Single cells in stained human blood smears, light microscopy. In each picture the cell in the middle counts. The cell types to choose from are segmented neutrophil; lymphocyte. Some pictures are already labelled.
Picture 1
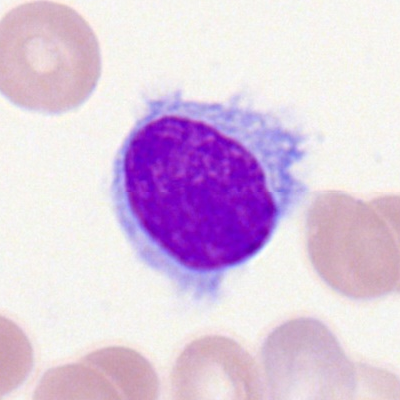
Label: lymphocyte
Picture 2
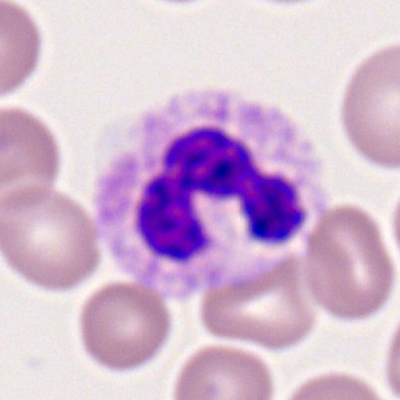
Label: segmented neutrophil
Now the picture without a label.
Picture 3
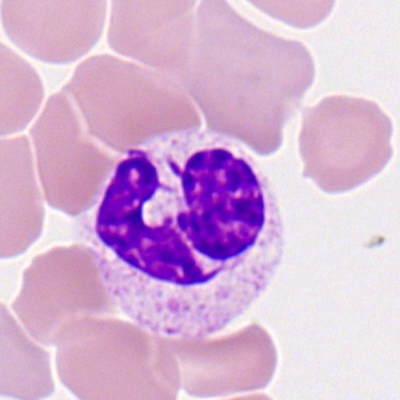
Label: segmented neutrophil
